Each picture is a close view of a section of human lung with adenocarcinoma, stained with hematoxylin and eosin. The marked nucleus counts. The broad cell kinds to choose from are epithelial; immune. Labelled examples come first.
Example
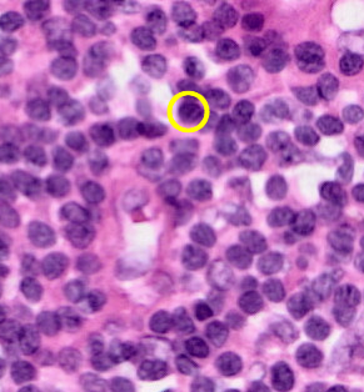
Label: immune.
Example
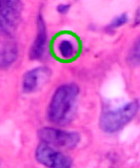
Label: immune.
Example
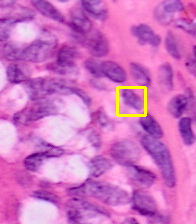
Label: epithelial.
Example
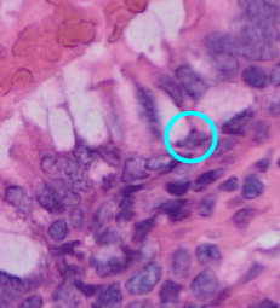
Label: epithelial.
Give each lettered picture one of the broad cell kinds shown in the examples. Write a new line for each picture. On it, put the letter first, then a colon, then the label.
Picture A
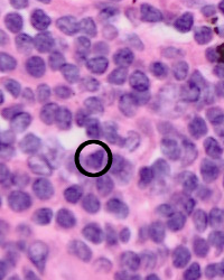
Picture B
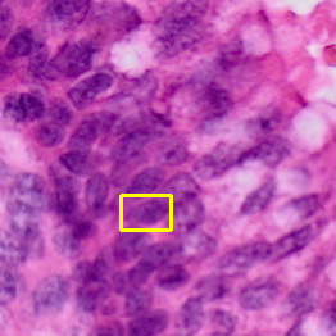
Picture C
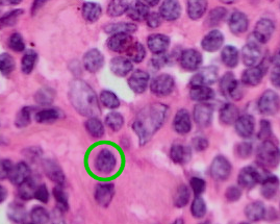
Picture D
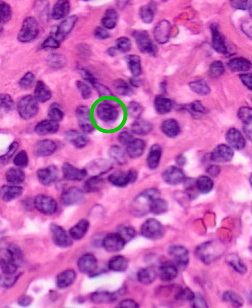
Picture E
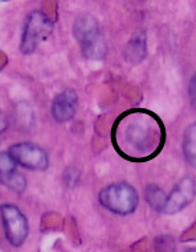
A: immune.
B: epithelial.
C: immune.
D: immune.
E: immune.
